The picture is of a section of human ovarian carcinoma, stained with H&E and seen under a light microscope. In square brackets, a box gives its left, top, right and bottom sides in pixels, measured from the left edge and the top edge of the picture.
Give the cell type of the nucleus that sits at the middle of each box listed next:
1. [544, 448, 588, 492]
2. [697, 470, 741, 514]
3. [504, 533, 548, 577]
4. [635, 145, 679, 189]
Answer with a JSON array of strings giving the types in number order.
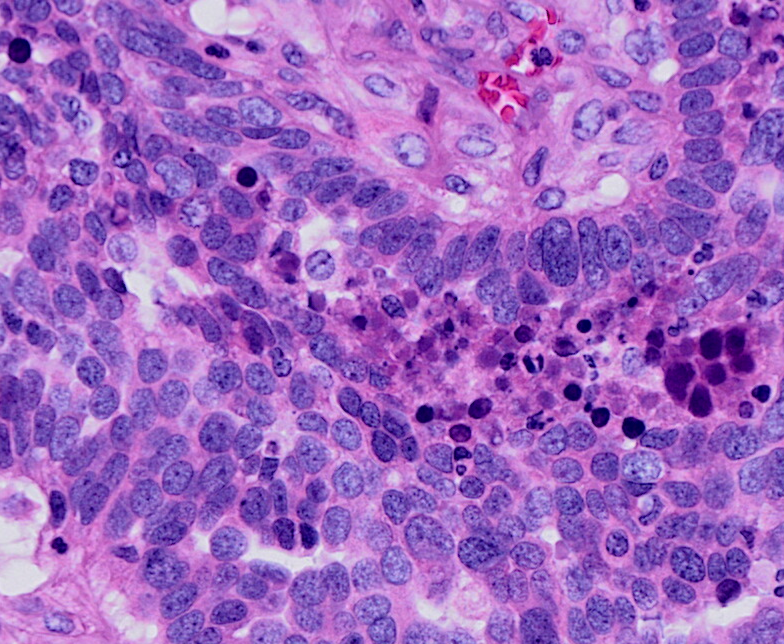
["carcinoma cell", "carcinoma cell", "carcinoma cell", "macrophage or monocyte"]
